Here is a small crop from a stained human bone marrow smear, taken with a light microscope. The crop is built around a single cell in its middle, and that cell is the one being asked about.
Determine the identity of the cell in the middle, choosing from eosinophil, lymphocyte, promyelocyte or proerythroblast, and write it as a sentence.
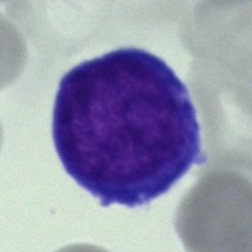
On this slide crop, the central cell is a proerythroblast.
